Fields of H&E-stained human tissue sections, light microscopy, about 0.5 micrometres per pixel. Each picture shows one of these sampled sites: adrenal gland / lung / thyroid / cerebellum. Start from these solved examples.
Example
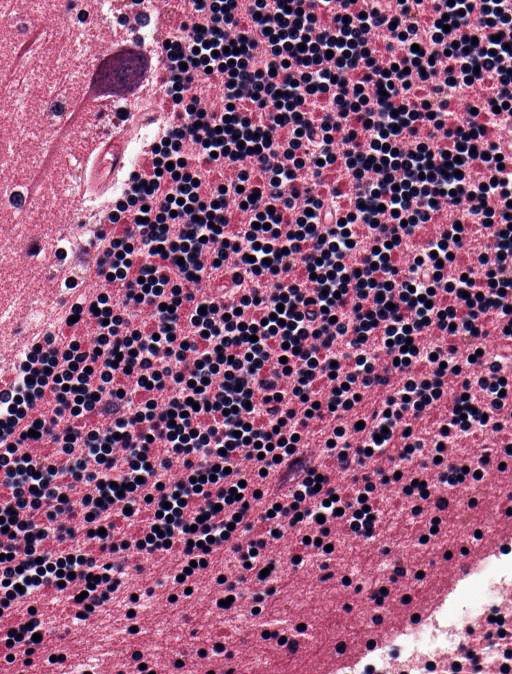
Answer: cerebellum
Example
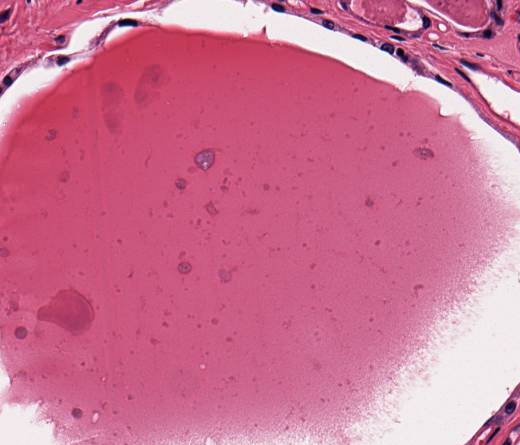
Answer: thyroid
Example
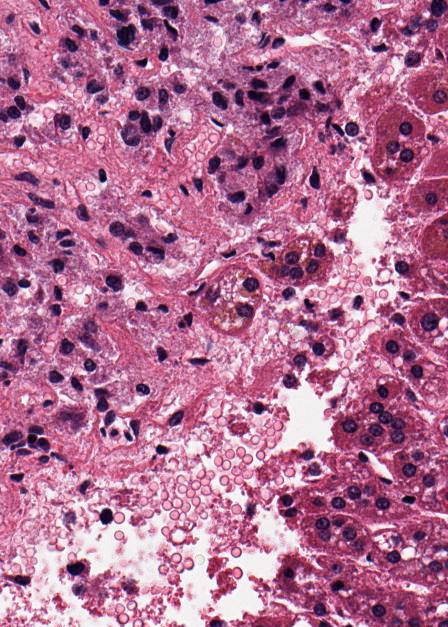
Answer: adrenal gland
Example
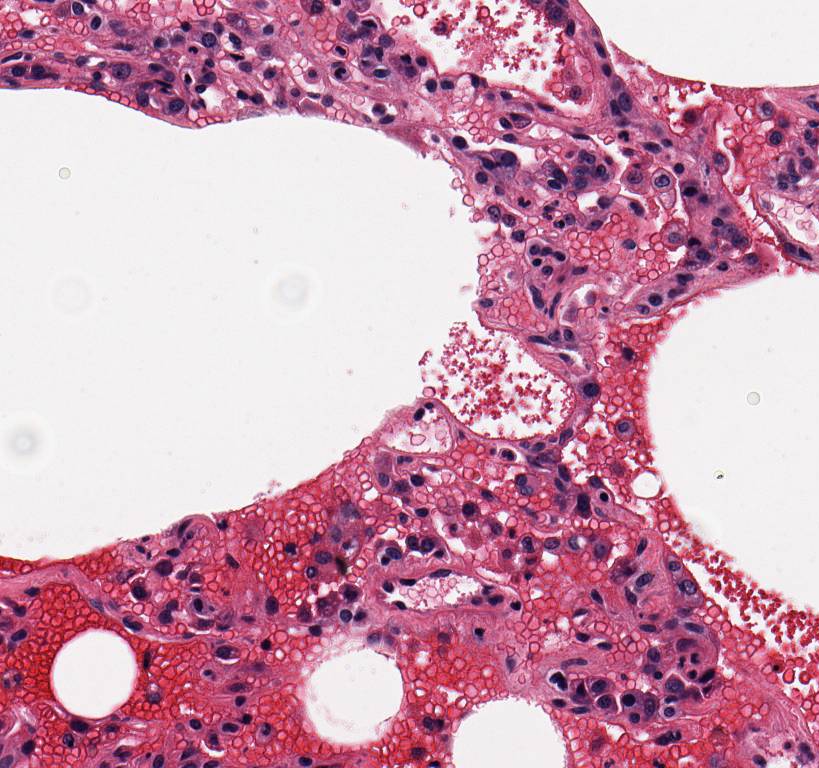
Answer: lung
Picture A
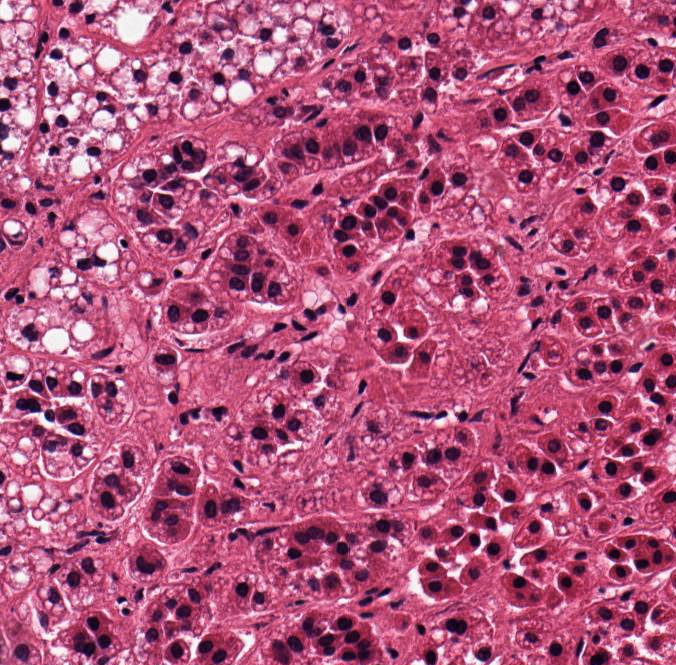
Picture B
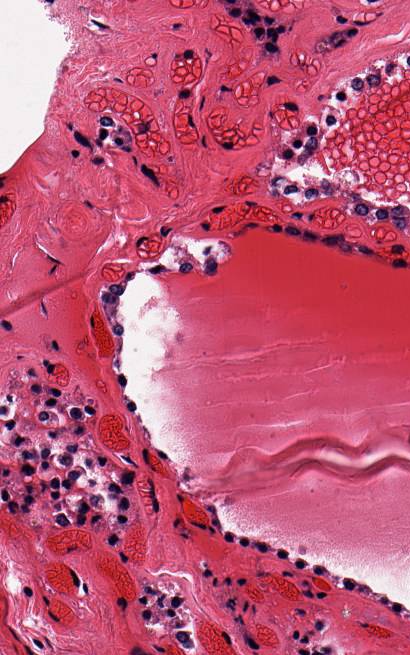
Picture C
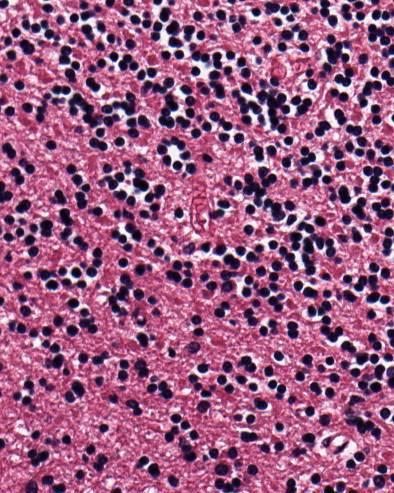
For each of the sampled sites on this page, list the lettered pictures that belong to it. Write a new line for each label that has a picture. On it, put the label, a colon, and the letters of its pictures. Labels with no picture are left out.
adrenal gland: A
thyroid: B
cerebellum: C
